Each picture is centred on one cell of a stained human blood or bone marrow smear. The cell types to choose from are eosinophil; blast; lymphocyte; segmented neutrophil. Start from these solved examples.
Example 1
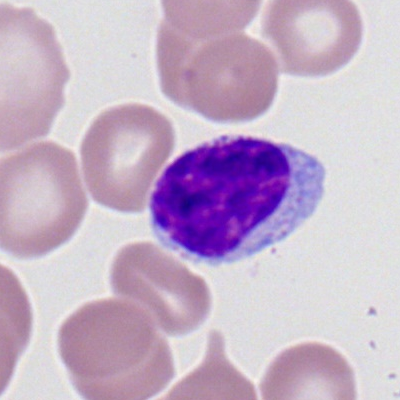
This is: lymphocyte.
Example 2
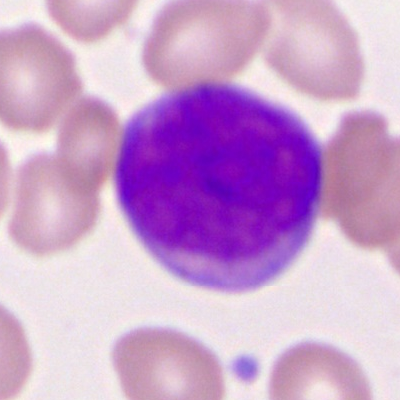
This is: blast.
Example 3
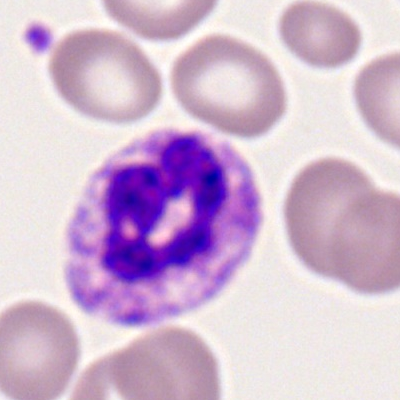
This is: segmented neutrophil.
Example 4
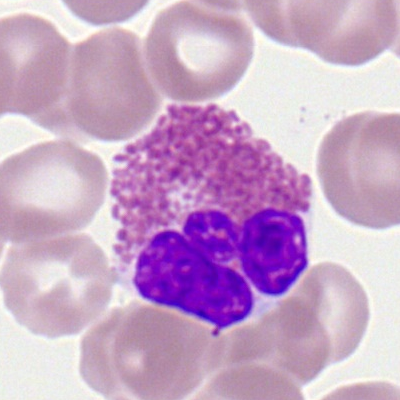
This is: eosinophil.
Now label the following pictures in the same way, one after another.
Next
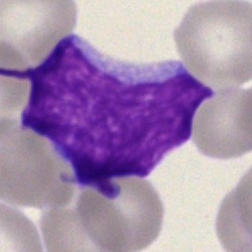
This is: blast.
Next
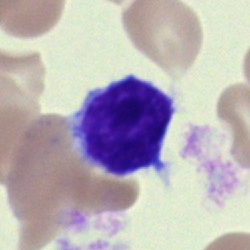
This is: lymphocyte.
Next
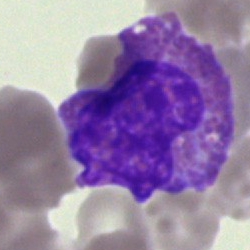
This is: eosinophil.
